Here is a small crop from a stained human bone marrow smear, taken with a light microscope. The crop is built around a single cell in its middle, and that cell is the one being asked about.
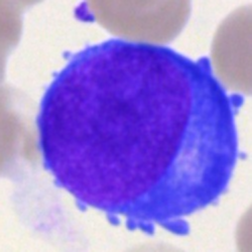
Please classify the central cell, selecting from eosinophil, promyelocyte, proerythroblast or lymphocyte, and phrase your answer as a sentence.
This crop is built around a proerythroblast at its centre.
